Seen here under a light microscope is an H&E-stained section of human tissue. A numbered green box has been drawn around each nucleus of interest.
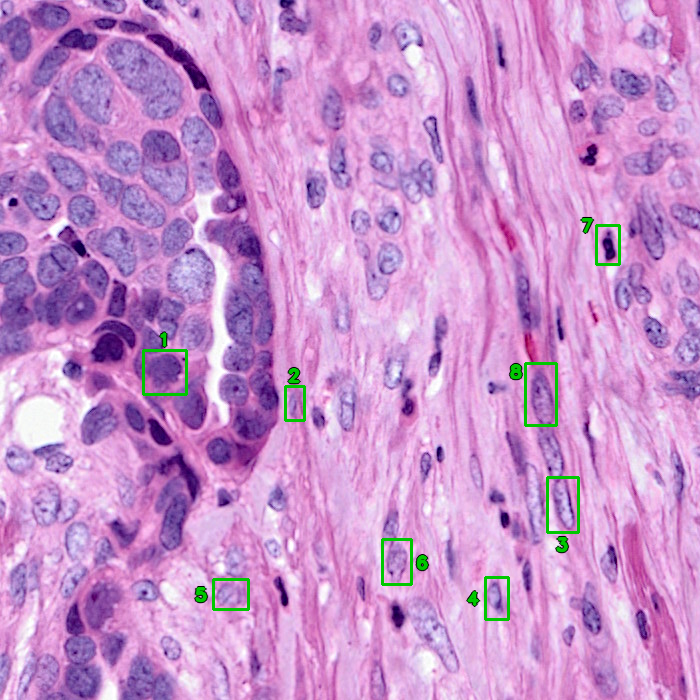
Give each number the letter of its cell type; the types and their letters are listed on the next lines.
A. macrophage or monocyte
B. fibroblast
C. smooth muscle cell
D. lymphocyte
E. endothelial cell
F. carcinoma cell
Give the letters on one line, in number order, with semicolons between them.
F; B; E; B; B; B; D; E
